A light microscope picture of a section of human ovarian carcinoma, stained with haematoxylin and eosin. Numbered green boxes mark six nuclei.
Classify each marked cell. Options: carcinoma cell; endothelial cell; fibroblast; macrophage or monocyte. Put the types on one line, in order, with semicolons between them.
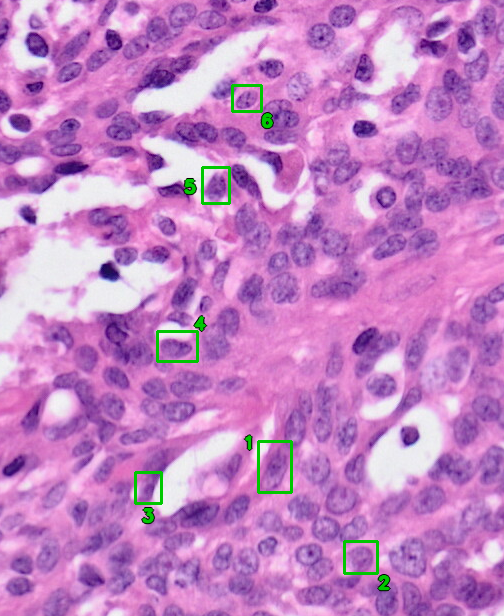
carcinoma cell; carcinoma cell; carcinoma cell; macrophage or monocyte; carcinoma cell; macrophage or monocyte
